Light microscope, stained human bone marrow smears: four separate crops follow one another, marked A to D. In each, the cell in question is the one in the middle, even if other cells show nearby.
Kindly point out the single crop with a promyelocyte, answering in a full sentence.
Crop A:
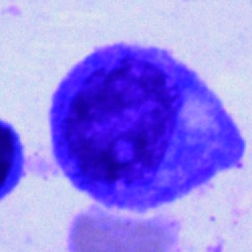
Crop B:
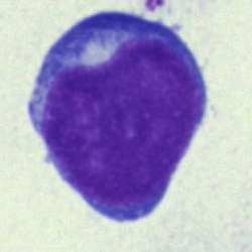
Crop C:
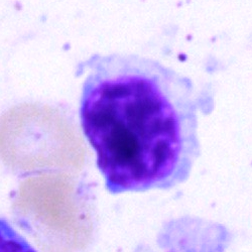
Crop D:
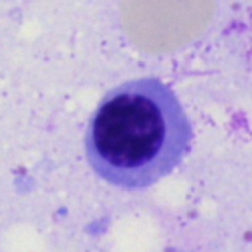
Of the labelled crops, the one that shows a promyelocyte is crop A.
